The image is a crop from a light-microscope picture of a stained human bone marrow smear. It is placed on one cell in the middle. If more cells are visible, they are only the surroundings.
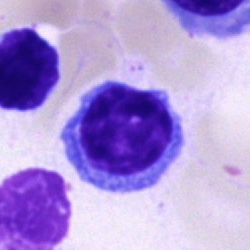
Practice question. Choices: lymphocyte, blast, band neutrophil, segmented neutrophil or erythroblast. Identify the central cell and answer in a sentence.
This particular crop is centered on a lymphocyte.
